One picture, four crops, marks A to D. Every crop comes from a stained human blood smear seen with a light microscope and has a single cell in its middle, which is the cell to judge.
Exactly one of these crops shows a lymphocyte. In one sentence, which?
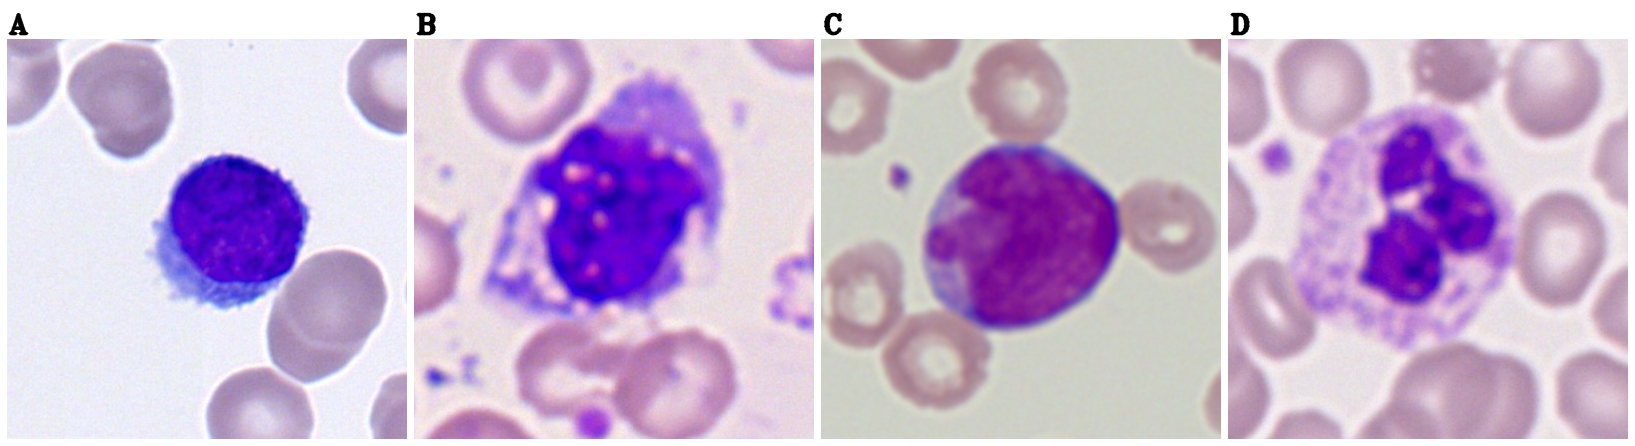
That would be crop A; it shows a lymphocyte.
